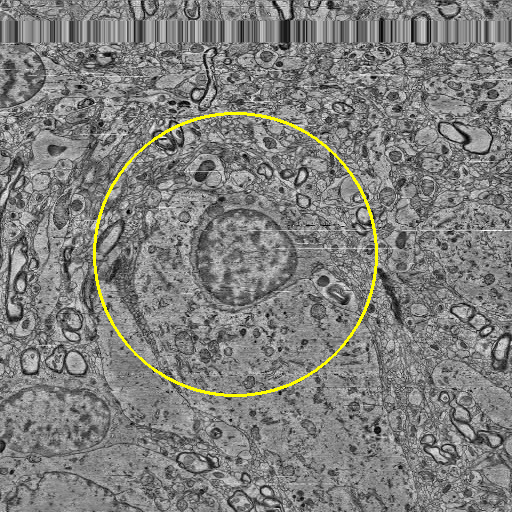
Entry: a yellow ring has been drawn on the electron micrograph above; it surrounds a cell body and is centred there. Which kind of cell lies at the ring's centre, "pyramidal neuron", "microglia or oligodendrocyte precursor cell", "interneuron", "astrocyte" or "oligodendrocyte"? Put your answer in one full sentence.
The cell sitting at the ring's centre is an oligodendrocyte in the micrograph above.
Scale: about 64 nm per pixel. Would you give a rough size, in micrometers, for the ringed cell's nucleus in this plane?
Roughly 6 micrometers across in this plane.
